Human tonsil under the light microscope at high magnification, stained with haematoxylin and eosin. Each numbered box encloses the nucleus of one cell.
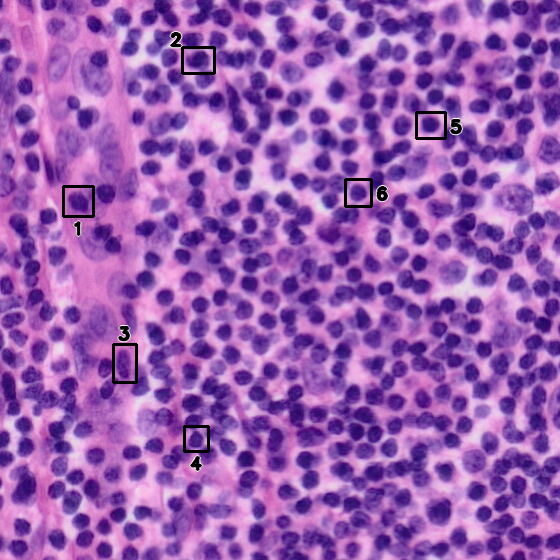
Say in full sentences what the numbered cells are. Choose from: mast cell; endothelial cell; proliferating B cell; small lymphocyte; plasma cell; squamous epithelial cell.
Cell 1 is an endothelial cell, cell 2 is a small lymphocyte, cell 3 is an endothelial cell, cell 4 is a small lymphocyte, cell 5 is a small lymphocyte and cell 6 is a small lymphocyte.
